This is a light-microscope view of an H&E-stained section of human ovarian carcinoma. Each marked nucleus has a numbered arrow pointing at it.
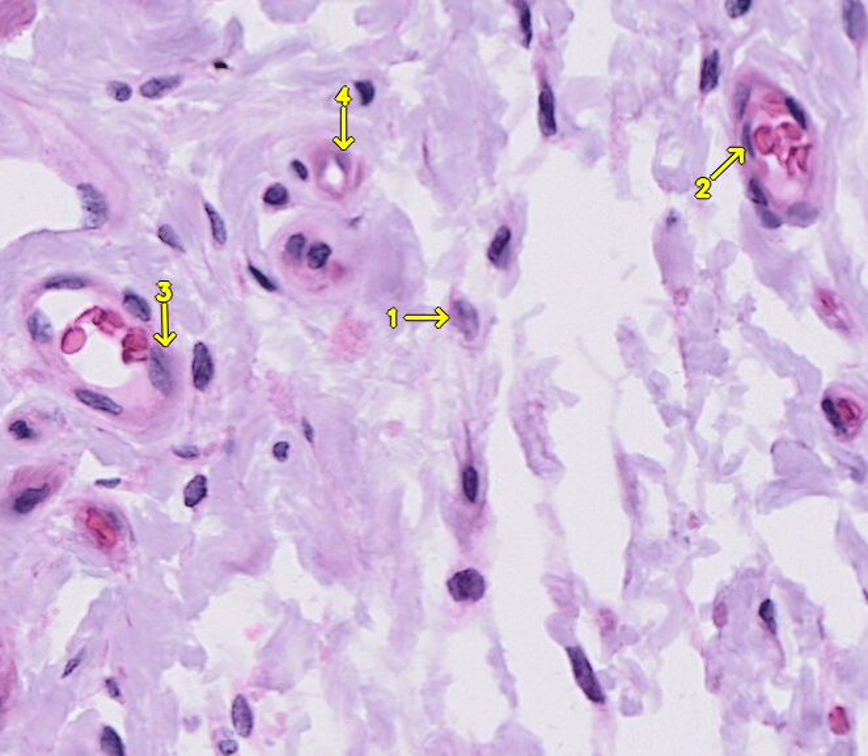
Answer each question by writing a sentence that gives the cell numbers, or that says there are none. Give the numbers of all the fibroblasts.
Cell 1 is a fibroblast, and that holds for no other numbered cell.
